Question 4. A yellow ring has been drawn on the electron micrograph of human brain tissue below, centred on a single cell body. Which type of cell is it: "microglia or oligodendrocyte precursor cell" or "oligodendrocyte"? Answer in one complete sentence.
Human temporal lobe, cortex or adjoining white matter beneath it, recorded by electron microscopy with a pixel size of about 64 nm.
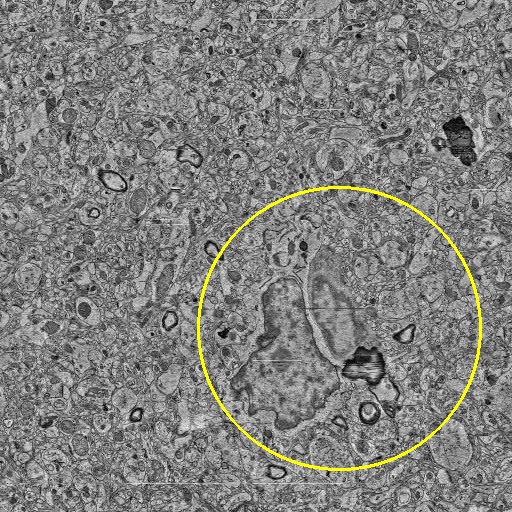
This cell body belongs to an oligodendrocyte.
